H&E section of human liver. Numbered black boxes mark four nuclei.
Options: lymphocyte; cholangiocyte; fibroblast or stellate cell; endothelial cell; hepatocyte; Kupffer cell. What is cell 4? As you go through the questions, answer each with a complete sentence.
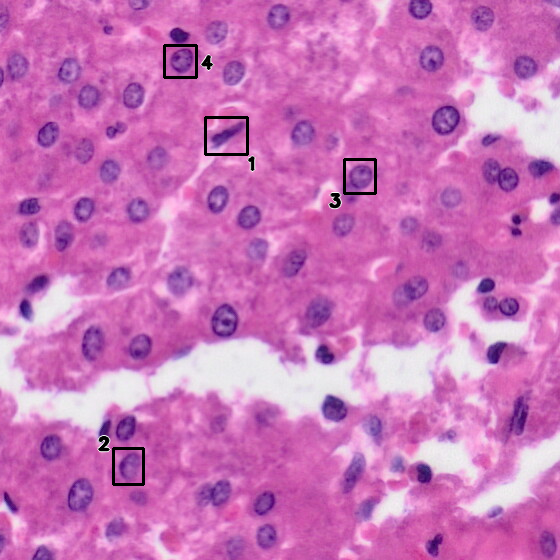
The one labeled 4 is a hepatocyte, to put it simply.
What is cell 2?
Within this field of view, the cell labelled 2 is a hepatocyte.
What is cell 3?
The cell assigned the number 3 is a hepatocyte.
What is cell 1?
The nucleus labelled 1 belongs to a Kupffer cell.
